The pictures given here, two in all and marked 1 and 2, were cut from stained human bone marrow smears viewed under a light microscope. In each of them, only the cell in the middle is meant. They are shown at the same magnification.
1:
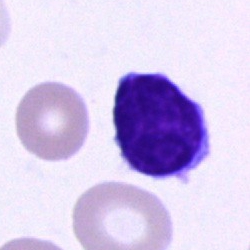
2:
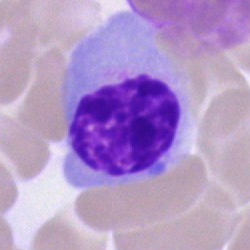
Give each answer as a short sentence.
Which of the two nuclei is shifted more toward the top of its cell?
It is the nucleus in crop 1 that lies further toward the top of its cell.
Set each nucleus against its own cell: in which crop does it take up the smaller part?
Of the two, the nucleus in crop 2 leaves more room for cytoplasm.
